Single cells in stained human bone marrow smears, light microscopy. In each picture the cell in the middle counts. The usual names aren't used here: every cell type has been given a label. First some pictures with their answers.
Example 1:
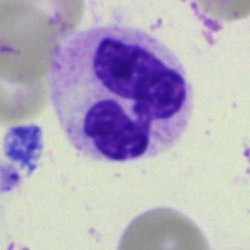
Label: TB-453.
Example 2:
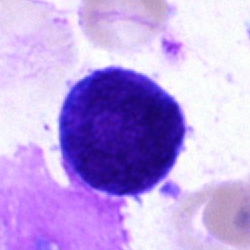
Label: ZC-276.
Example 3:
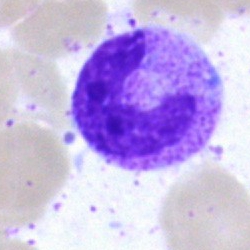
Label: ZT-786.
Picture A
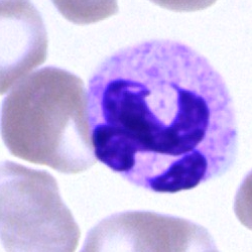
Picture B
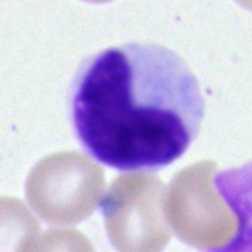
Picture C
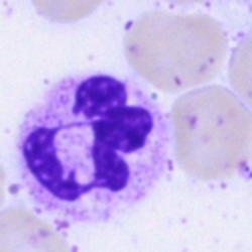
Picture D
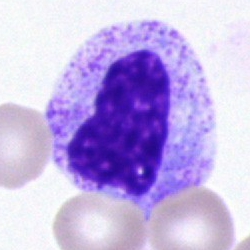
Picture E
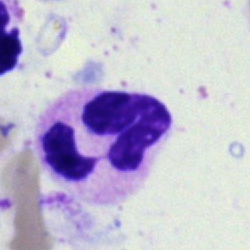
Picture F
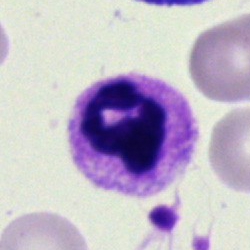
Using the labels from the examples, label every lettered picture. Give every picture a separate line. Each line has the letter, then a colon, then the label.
A: TB-453.
B: ZT-786.
C: TB-453.
D: ZT-786.
E: TB-453.
F: TB-453.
